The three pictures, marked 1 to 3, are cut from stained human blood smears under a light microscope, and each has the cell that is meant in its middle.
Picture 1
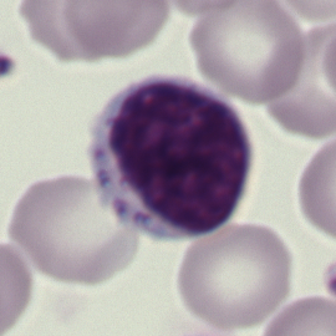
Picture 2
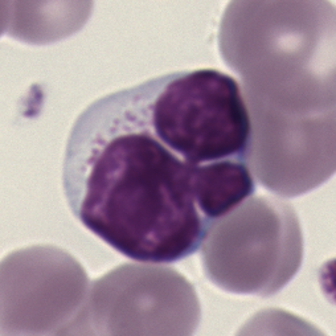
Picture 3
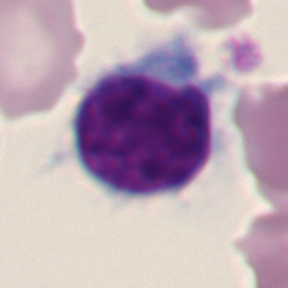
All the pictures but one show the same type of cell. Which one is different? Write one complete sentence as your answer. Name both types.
Unlike the rest, which show large granular lymphocytes, picture 3 shows a hairy cell.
